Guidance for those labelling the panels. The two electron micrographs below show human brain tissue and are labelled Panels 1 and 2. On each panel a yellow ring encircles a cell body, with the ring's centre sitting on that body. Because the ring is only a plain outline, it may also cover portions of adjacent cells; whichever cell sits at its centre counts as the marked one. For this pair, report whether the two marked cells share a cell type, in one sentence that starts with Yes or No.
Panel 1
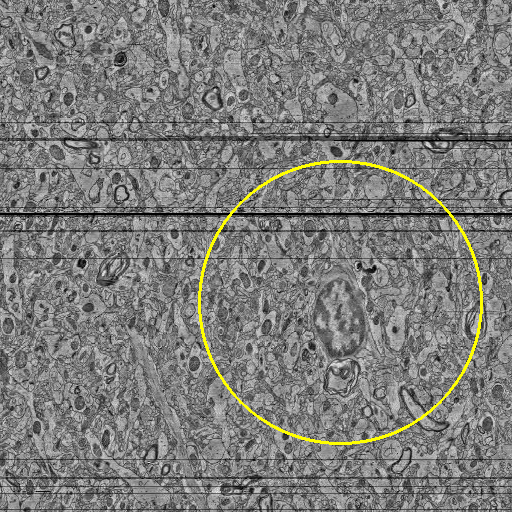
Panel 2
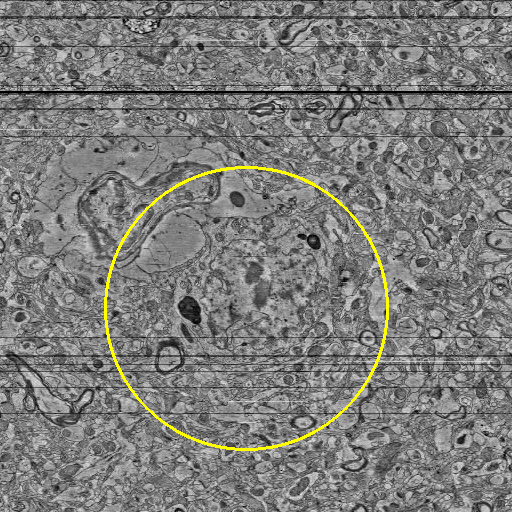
No, in Panel 1 and Panel 2 the marked cells at the ring centres are of two types.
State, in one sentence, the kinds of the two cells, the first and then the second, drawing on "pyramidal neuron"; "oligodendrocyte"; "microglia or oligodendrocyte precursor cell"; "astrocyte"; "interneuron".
The ring in the second picture is centred on an interneuron, the ring in the first on an oligodendrocyte.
